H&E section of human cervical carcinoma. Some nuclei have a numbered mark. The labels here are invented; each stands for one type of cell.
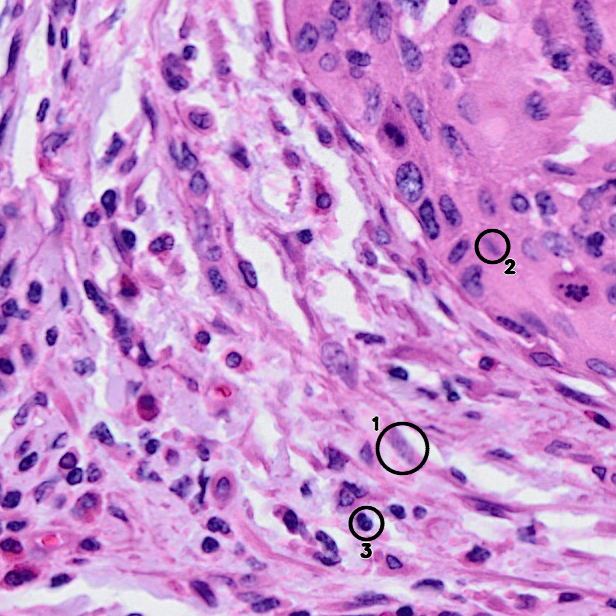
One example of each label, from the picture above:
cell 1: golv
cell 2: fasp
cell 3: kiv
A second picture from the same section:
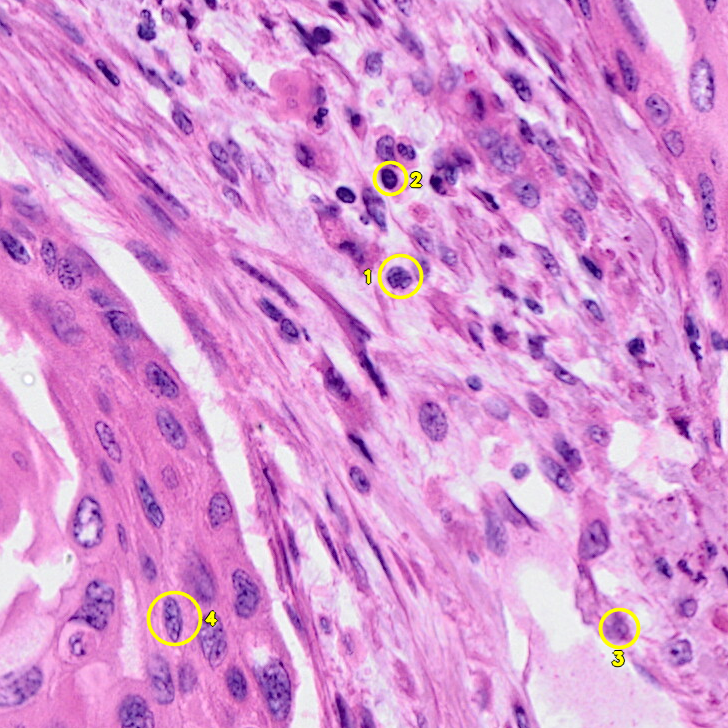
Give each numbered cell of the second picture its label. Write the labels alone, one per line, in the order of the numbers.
kiv
kiv
golv
fasp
